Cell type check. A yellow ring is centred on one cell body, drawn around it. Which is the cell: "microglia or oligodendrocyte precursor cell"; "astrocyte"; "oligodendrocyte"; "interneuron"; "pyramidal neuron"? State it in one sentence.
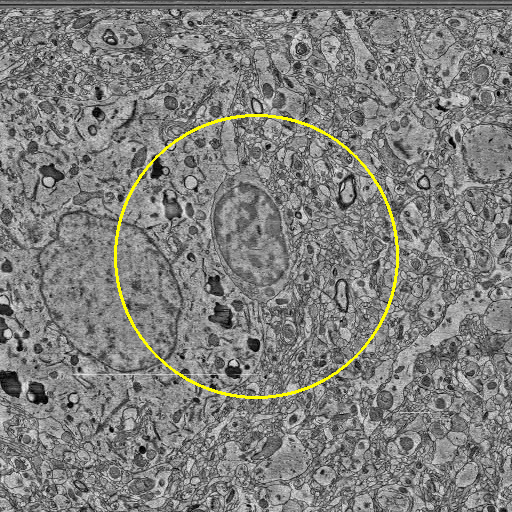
The cell body at the ring's centre belongs to an oligodendrocyte.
